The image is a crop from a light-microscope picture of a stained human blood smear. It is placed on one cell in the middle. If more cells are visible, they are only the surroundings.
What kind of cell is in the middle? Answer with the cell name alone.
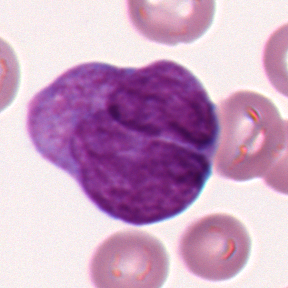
atypical promyelocyte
